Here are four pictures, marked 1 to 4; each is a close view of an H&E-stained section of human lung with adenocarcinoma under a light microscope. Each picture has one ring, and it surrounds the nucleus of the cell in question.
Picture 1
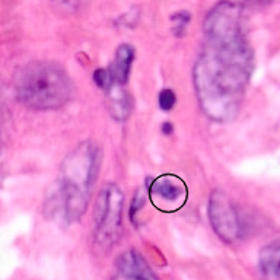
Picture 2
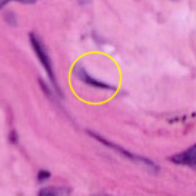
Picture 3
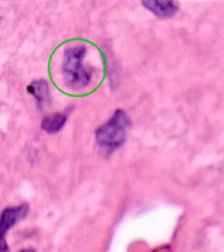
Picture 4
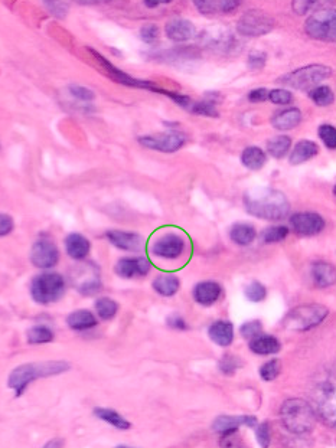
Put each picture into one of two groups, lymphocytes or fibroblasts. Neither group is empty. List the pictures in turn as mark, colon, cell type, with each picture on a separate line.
1: lymphocyte
2: fibroblast
3: fibroblast
4: lymphocyte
